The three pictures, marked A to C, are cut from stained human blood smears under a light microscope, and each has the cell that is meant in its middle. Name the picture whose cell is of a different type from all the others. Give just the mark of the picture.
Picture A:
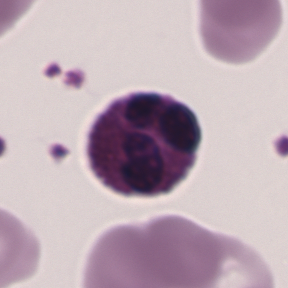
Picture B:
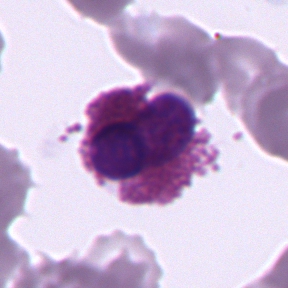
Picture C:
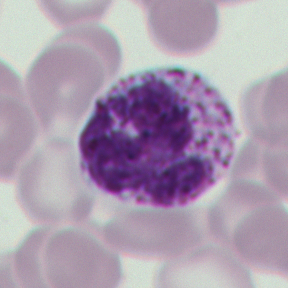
C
